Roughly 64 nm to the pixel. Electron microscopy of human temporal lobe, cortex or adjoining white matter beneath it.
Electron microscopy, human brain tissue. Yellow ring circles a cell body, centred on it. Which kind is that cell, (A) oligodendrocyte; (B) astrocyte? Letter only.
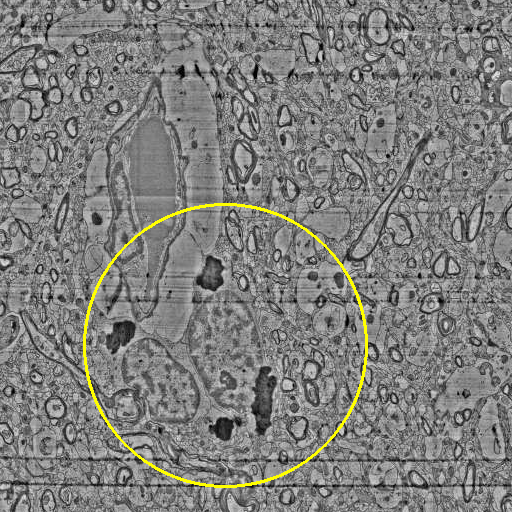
A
